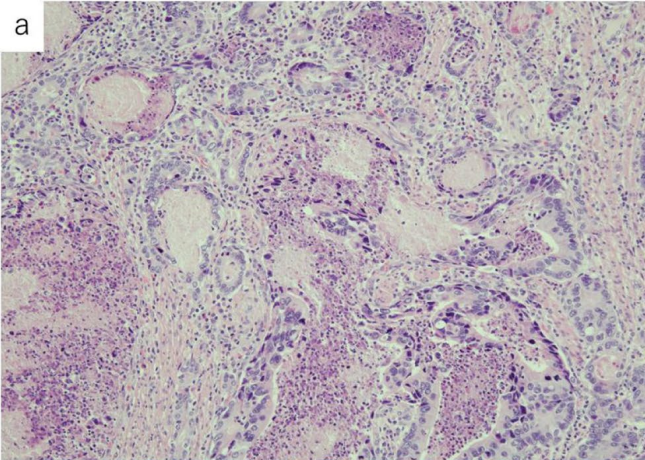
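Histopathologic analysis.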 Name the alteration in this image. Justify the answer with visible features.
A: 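Moderately differentiated adenocarcinoma. Irregular, angulated glands of varying size are scattered through fibrous stroma. Several glands hold pale pink material in their lumina. Gland-forming cells have crowded, dark, enlarged nuclei.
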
